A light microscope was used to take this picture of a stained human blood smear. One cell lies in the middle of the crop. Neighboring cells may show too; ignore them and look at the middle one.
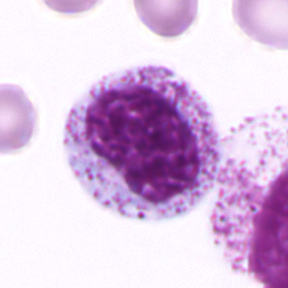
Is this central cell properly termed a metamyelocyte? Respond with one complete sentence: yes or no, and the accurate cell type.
Yes, the cell at the middle of the frame is a metamyelocyte.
